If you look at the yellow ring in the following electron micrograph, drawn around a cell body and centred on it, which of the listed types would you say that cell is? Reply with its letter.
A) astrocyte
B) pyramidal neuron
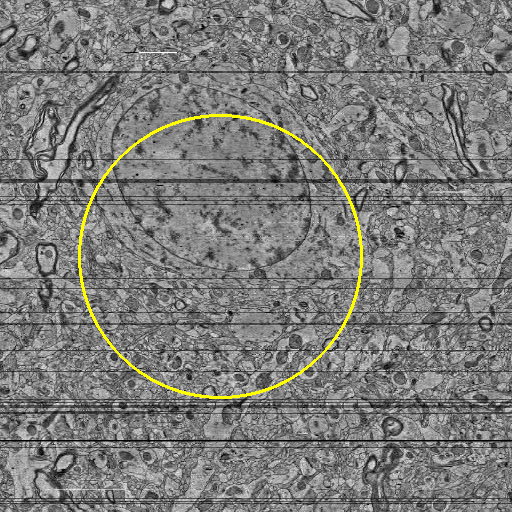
B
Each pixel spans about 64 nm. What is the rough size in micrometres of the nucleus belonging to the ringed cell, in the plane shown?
Roughly 14 by 11 micrometres is the size of the nucleus in this plane.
